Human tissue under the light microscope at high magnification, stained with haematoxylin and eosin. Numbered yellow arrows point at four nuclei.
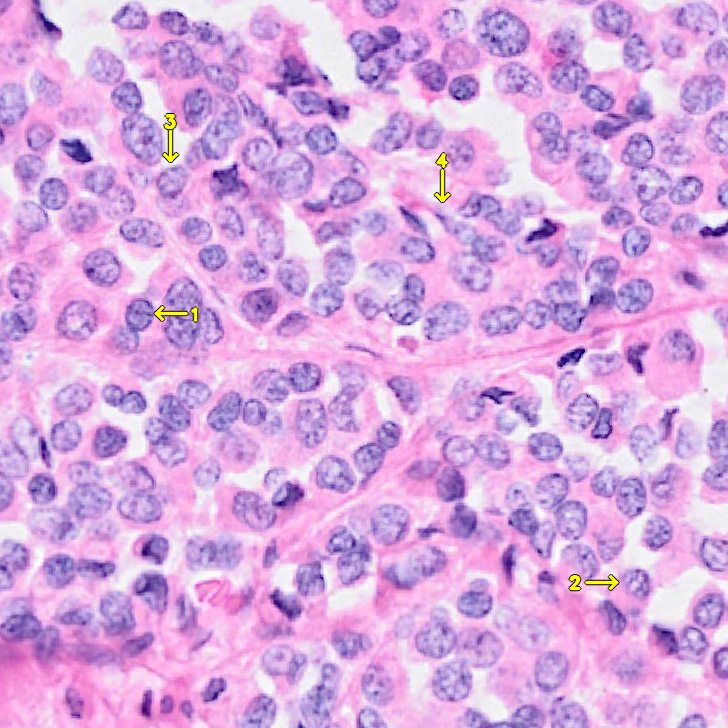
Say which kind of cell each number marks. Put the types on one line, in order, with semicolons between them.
carcinoma cell; carcinoma cell; carcinoma cell; endothelial cell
